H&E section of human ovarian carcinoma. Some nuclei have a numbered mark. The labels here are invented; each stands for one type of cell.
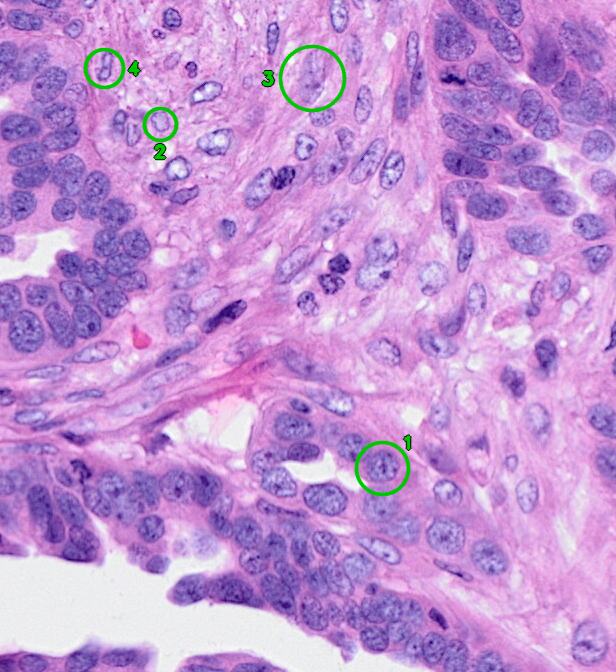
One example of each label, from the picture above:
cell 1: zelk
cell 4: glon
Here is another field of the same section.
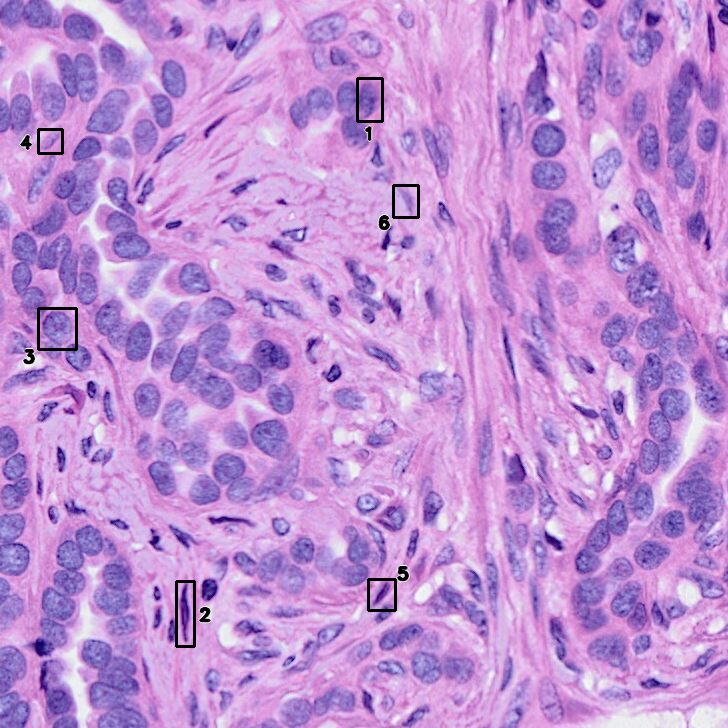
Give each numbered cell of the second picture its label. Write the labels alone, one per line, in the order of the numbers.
zelk
glon
zelk
glon
glon
glon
